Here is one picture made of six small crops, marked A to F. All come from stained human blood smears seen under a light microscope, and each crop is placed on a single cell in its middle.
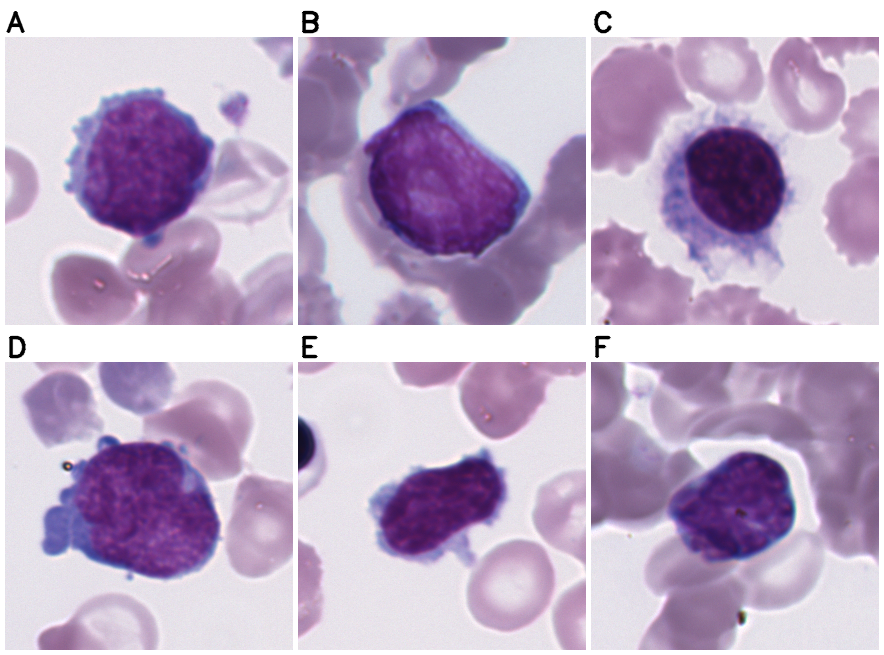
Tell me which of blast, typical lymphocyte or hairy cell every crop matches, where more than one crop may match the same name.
A: blast
B: blast
C: hairy cell
D: blast
E: typical lymphocyte
F: typical lymphocyte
